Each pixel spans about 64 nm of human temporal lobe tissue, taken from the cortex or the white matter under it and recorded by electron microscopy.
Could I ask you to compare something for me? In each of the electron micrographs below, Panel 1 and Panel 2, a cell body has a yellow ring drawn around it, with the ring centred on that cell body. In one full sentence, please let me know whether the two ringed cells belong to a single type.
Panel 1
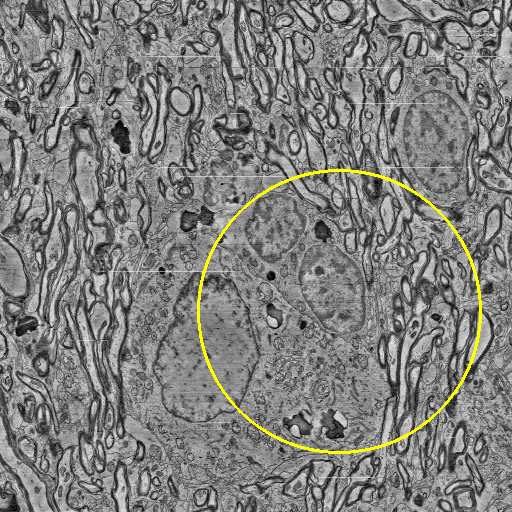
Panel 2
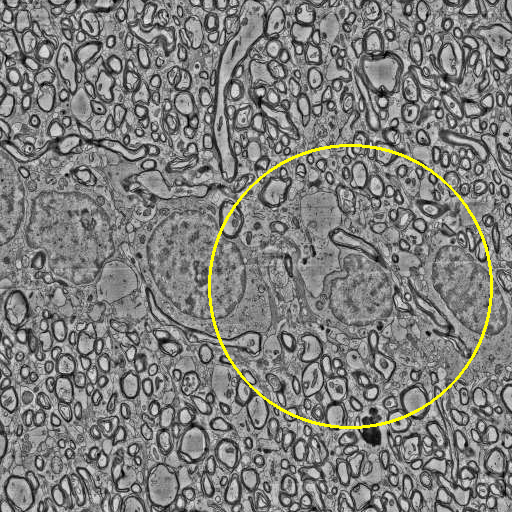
Yes, the two cells at the centres of the rings are of one type.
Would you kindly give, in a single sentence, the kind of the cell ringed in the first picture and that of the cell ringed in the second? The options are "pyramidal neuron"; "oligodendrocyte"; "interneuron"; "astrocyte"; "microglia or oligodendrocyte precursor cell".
Each of the two pictures has an oligodendrocyte at the ring centre.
